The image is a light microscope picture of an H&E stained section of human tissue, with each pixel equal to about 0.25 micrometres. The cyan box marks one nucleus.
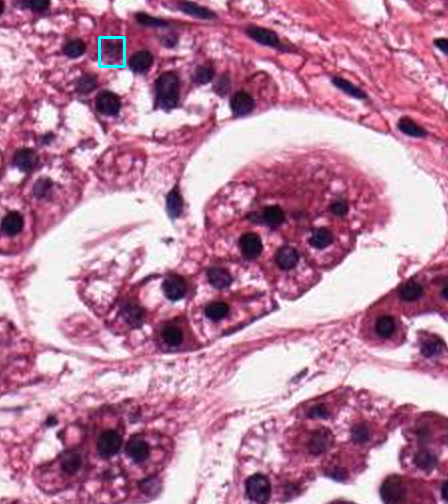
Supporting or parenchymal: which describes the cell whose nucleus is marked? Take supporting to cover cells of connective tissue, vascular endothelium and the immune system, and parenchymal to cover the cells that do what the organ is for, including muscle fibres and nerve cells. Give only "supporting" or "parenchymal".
parenchymal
